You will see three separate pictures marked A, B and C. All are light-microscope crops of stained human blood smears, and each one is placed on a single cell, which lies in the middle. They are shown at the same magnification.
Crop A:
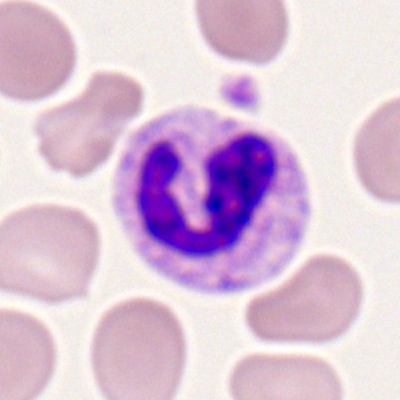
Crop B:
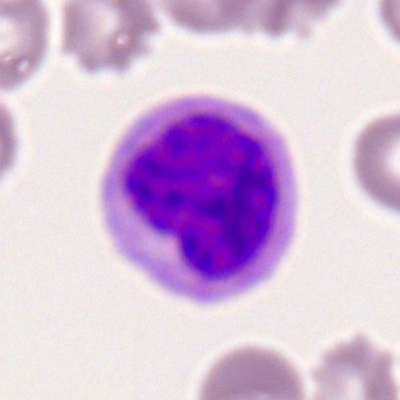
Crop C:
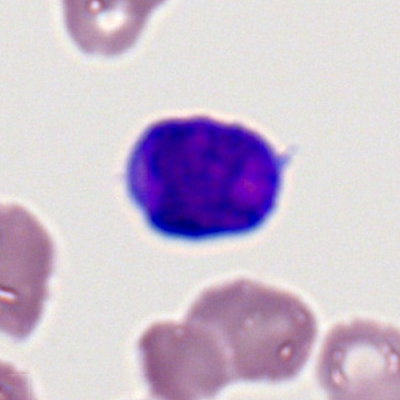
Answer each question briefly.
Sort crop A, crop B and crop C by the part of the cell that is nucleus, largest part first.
C, B, A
